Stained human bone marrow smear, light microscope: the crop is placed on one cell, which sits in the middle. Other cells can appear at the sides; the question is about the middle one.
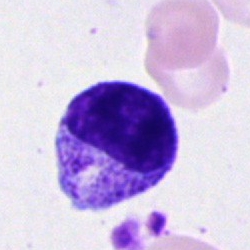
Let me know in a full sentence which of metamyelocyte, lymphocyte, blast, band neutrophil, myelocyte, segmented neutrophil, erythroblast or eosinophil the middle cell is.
For this crop, the central cell is a metamyelocyte.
